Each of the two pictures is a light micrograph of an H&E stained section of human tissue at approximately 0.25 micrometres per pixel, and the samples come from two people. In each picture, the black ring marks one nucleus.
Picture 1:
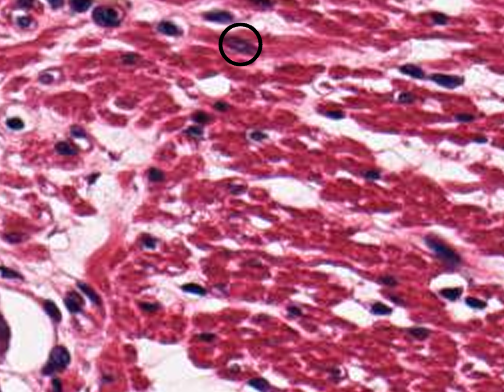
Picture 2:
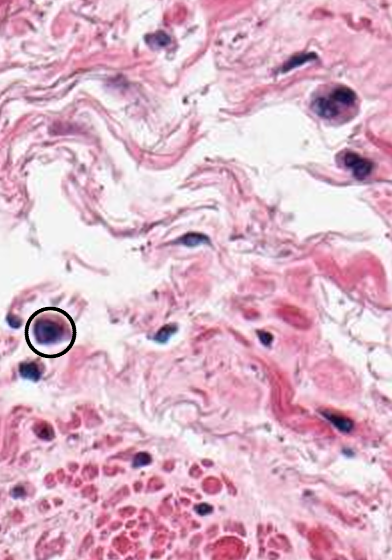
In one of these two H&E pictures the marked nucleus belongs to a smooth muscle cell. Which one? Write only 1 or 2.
1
